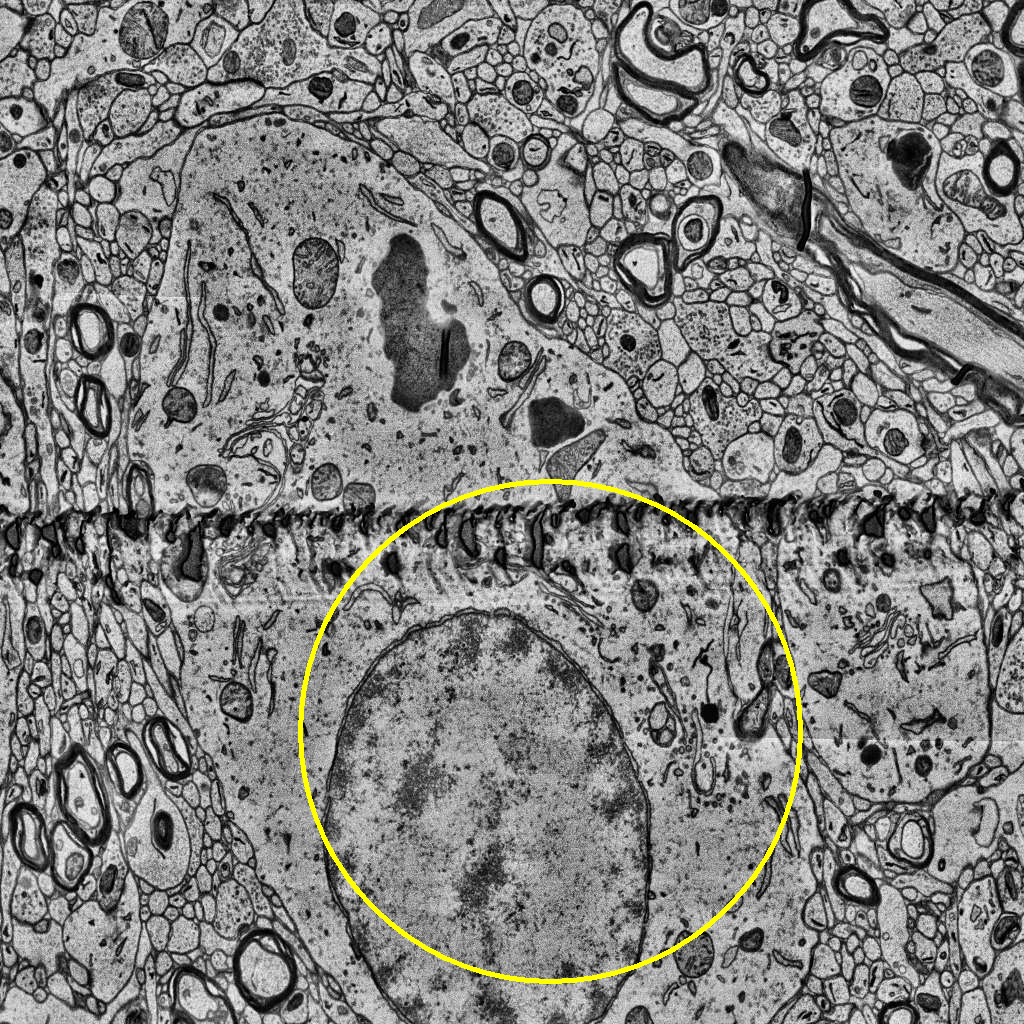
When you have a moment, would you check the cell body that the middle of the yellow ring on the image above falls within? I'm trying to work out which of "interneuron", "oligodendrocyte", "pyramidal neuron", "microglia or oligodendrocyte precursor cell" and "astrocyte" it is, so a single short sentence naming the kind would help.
This cell body belongs to an interneuron.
